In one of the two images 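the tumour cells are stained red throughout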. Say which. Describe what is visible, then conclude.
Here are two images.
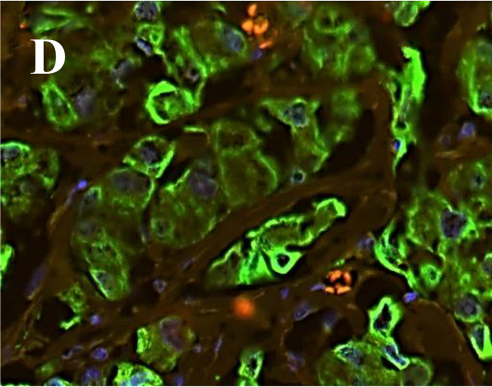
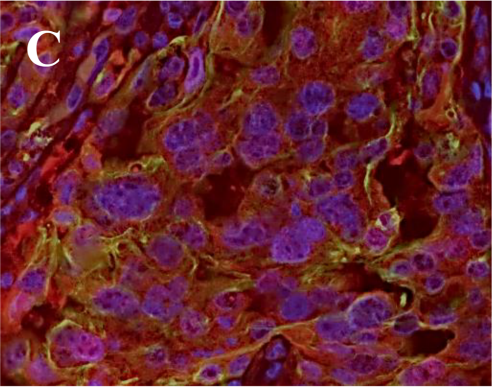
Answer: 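The second image. First image: tumour cells show green cytoplasm with no red staining. Second image: tumour cells and their surroundings are diffusely red.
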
